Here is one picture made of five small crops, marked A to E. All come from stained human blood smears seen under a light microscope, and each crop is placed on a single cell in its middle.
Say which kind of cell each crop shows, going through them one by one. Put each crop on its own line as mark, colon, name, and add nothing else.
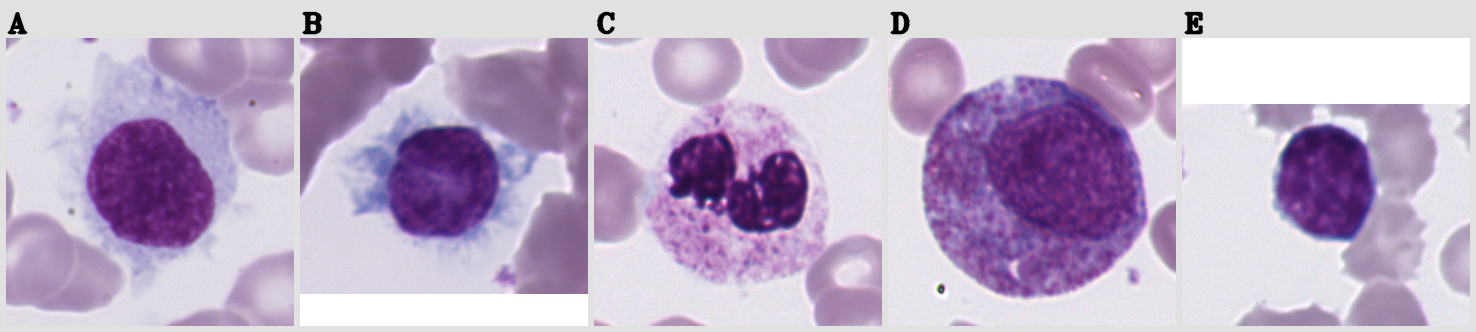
A: hairy cell
B: hairy cell
C: segmented neutrophil
D: promyelocyte
E: typical lymphocyte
